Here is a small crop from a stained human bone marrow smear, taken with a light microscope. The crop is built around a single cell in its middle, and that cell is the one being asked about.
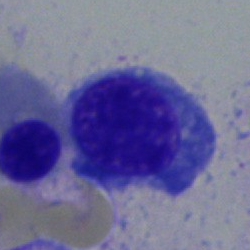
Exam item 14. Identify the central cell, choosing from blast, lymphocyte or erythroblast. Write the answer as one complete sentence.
The cell in the middle of this crop is an erythroblast.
